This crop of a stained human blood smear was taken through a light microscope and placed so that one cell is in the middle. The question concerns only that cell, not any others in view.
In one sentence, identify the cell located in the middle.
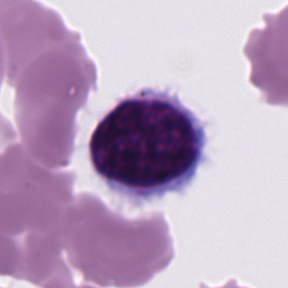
The identification for the central cell is a hairy cell.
